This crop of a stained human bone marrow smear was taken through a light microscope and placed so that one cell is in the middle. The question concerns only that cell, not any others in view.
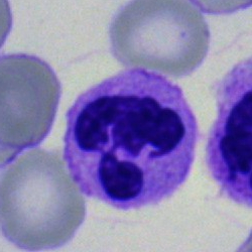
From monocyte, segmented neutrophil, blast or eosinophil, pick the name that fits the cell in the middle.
segmented neutrophil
